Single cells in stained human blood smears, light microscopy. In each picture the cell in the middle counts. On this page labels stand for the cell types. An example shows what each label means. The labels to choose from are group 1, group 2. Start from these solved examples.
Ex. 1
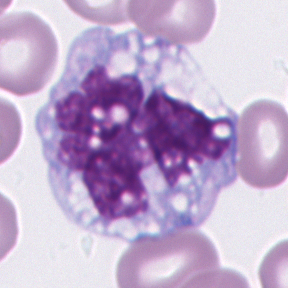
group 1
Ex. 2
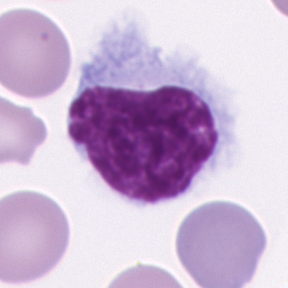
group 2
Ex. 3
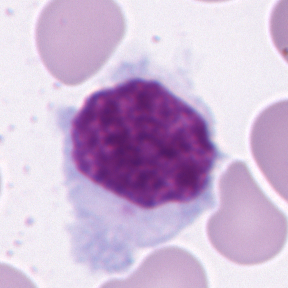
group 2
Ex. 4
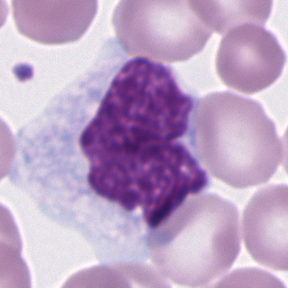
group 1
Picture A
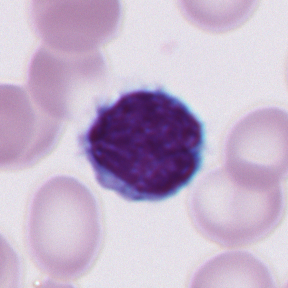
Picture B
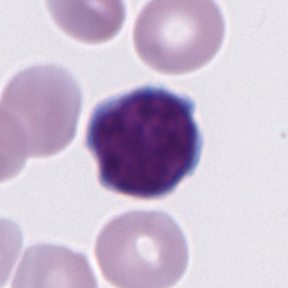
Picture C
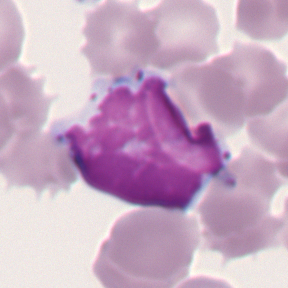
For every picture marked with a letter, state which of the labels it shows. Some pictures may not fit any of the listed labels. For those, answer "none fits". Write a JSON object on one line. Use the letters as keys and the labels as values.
{"A": "none fits", "B": "none fits", "C": "none fits"}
